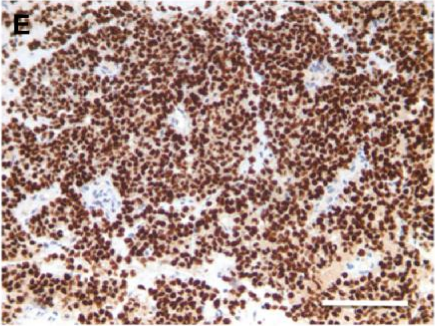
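These are tumor cells packed in broad sheets. Almost every nucleus is stained dark brown, so the sheet looks densely speckled with round and oval brown nuclei. The cytoplasm around them stays pale. Narrow pale channels of stroma and small vessels run between the cell groups, and the nuclei of the stromal cells there are blue, not brown, giving a sharp boundary between the tumor cell sheets and the supporting tissue.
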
